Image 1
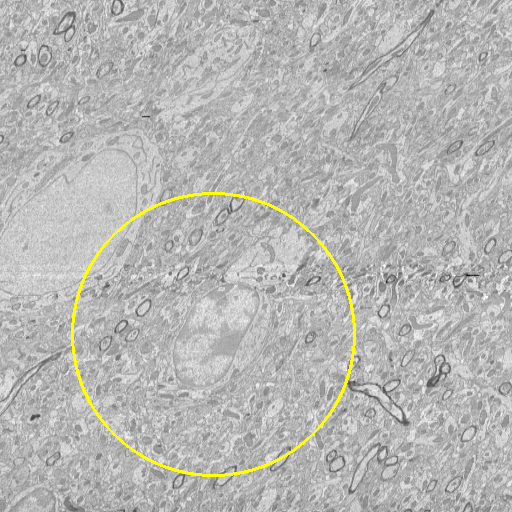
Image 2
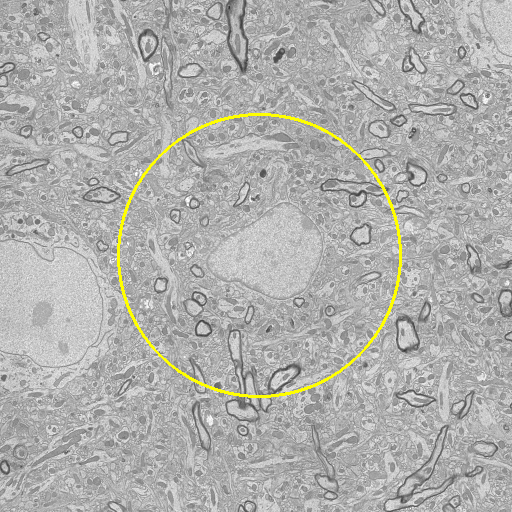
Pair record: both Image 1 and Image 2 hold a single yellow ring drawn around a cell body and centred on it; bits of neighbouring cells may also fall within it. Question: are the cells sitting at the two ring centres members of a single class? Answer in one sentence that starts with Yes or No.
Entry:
No, the ring-centre cells in Image 1 and Image 2 come from two classes.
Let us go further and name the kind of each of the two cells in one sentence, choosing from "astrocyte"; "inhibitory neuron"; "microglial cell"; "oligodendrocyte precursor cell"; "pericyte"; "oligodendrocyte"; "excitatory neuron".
The ring of the first picture is on an oligodendrocyte, the ring of the second on an astrocyte.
